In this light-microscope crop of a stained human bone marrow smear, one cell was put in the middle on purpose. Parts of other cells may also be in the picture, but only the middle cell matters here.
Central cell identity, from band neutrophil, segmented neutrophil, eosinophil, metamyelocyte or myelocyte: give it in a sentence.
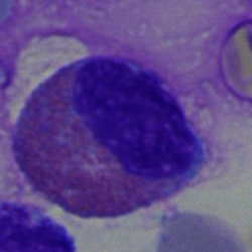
This crop has an eosinophil at its centre.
